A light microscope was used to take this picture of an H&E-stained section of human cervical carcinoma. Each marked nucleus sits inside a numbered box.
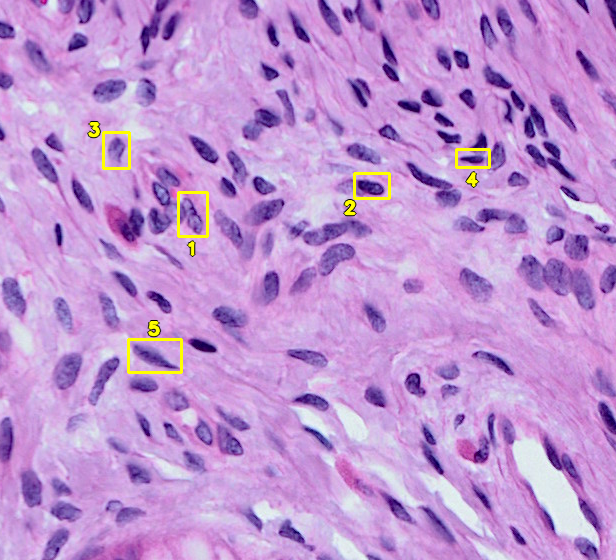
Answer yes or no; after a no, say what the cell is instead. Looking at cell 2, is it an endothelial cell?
No, it is a lymphocyte.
